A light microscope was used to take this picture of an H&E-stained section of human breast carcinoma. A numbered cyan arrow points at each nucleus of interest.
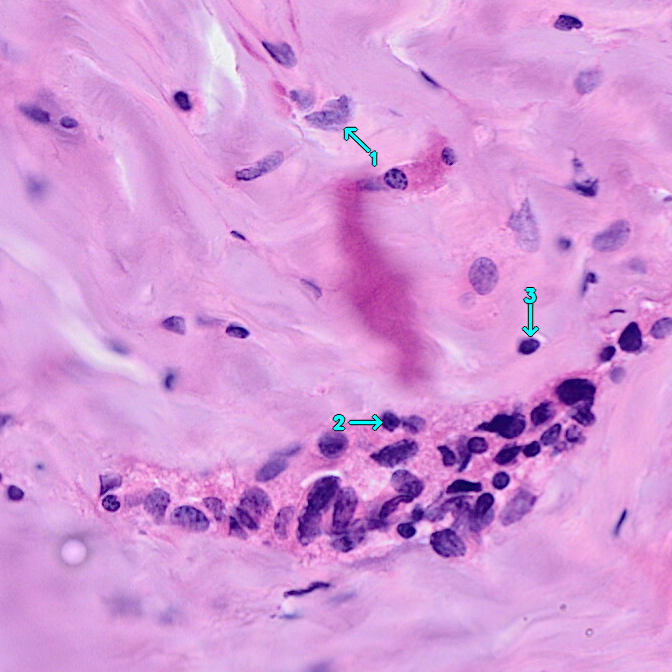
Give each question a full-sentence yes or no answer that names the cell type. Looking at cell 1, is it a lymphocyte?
No, cell 1 should be read as a fibroblast instead of a lymphocyte.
